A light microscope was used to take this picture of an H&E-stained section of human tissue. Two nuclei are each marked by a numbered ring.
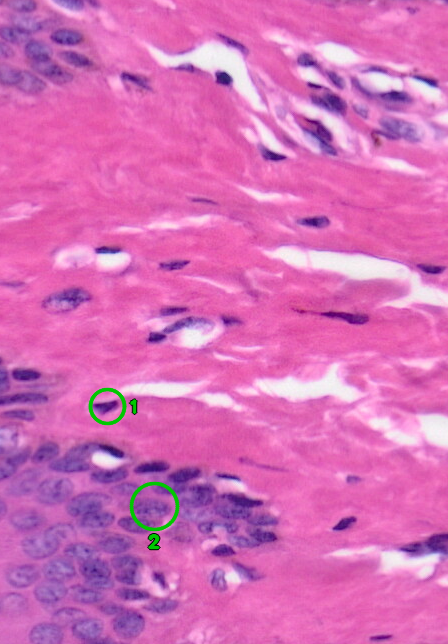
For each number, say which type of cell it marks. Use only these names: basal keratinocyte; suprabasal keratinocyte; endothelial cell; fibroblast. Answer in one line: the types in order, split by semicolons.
fibroblast; basal keratinocyte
